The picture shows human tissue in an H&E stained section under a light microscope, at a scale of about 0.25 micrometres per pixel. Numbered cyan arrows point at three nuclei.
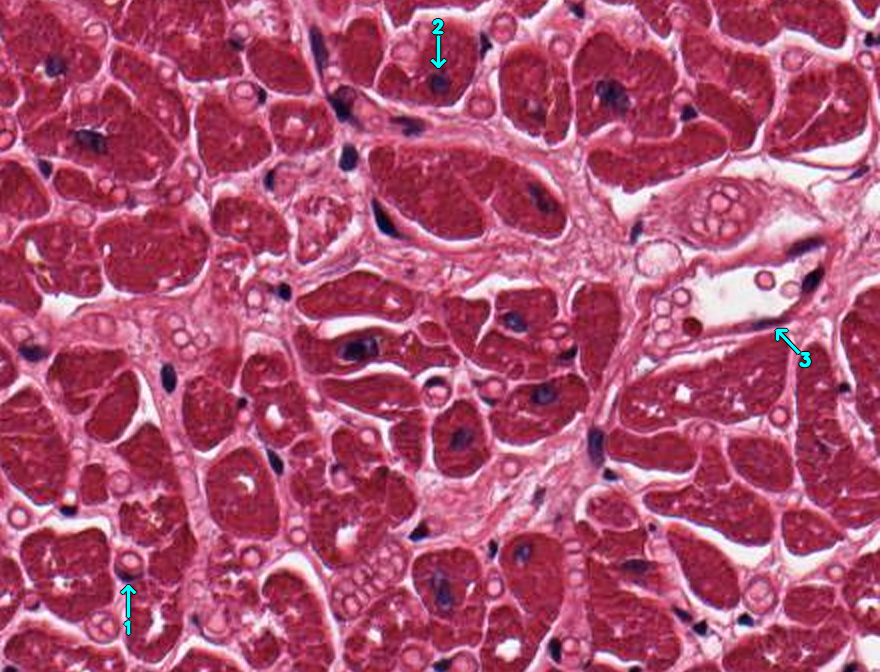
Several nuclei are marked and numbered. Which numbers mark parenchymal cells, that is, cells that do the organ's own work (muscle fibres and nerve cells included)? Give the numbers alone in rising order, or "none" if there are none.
2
